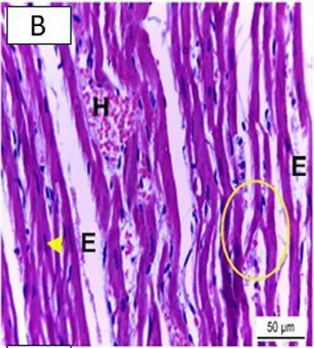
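Cardiac muscle fibers in longitudinal section, disrupted: fibers are thin, wavy and deeply eosinophilic, separated by wide pale spaces of edema. A collection of extravasated red blood cells lies between fibers as hemorrhage. Some fibers appear degenerated and irregular, and several nuclei are small, dark and flattened, pyknotic rather than oval. The compact parallel arrangement of normal myocardium is lost, with fibers spread apart across the field.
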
